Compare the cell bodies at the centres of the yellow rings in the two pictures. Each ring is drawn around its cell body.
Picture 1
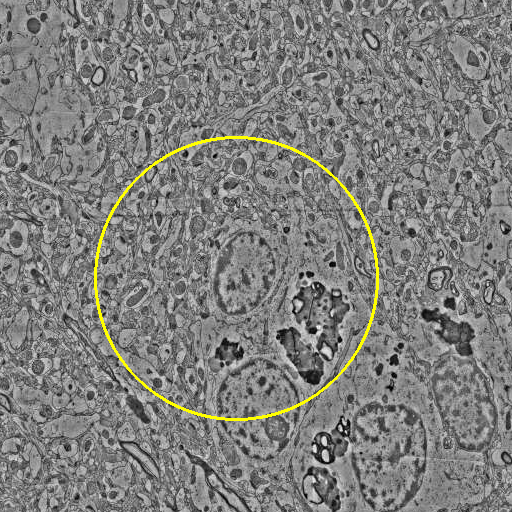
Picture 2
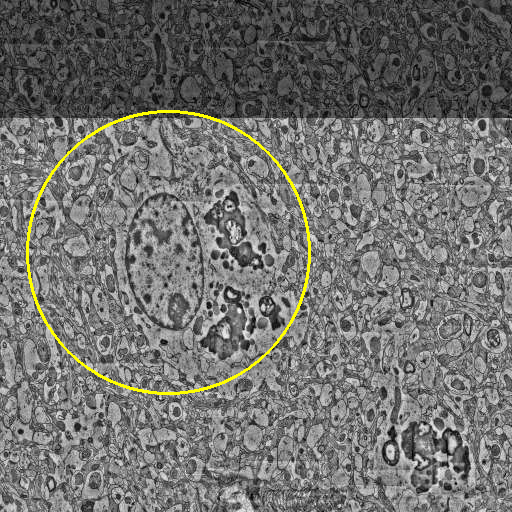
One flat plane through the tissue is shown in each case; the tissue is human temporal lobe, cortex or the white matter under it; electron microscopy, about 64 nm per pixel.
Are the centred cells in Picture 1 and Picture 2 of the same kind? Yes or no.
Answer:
yes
